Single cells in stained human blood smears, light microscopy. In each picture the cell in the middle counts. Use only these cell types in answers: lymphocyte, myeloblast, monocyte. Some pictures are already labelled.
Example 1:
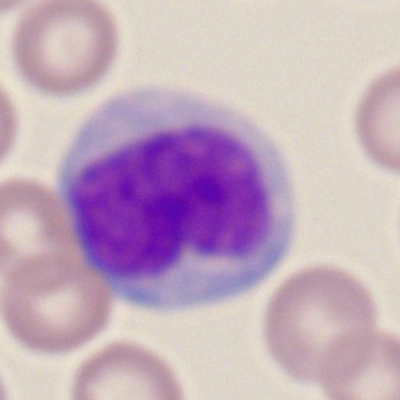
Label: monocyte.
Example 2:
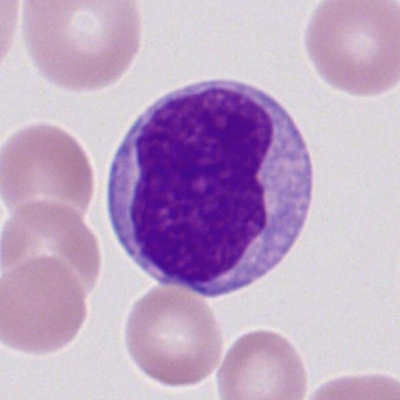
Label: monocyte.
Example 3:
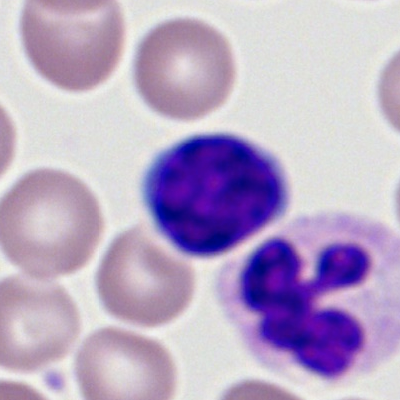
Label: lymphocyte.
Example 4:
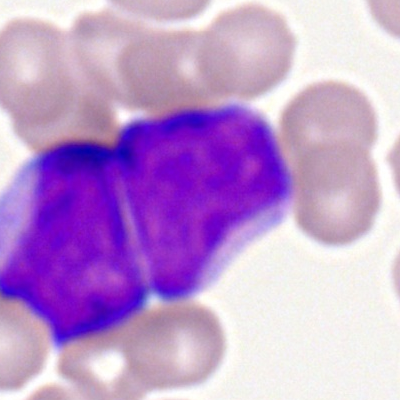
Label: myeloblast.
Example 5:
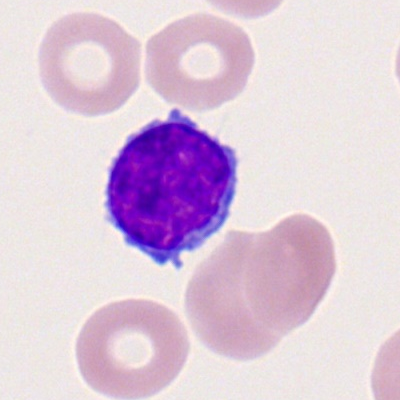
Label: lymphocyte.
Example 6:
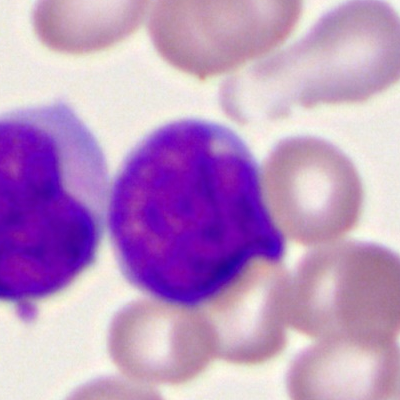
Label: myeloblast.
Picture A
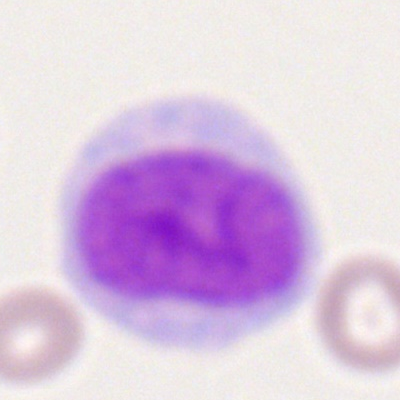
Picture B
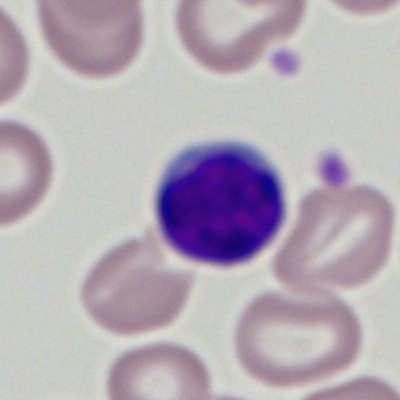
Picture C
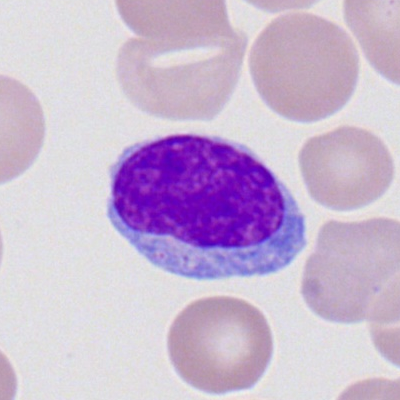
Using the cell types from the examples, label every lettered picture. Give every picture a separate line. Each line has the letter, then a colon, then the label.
A: monocyte.
B: lymphocyte.
C: lymphocyte.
